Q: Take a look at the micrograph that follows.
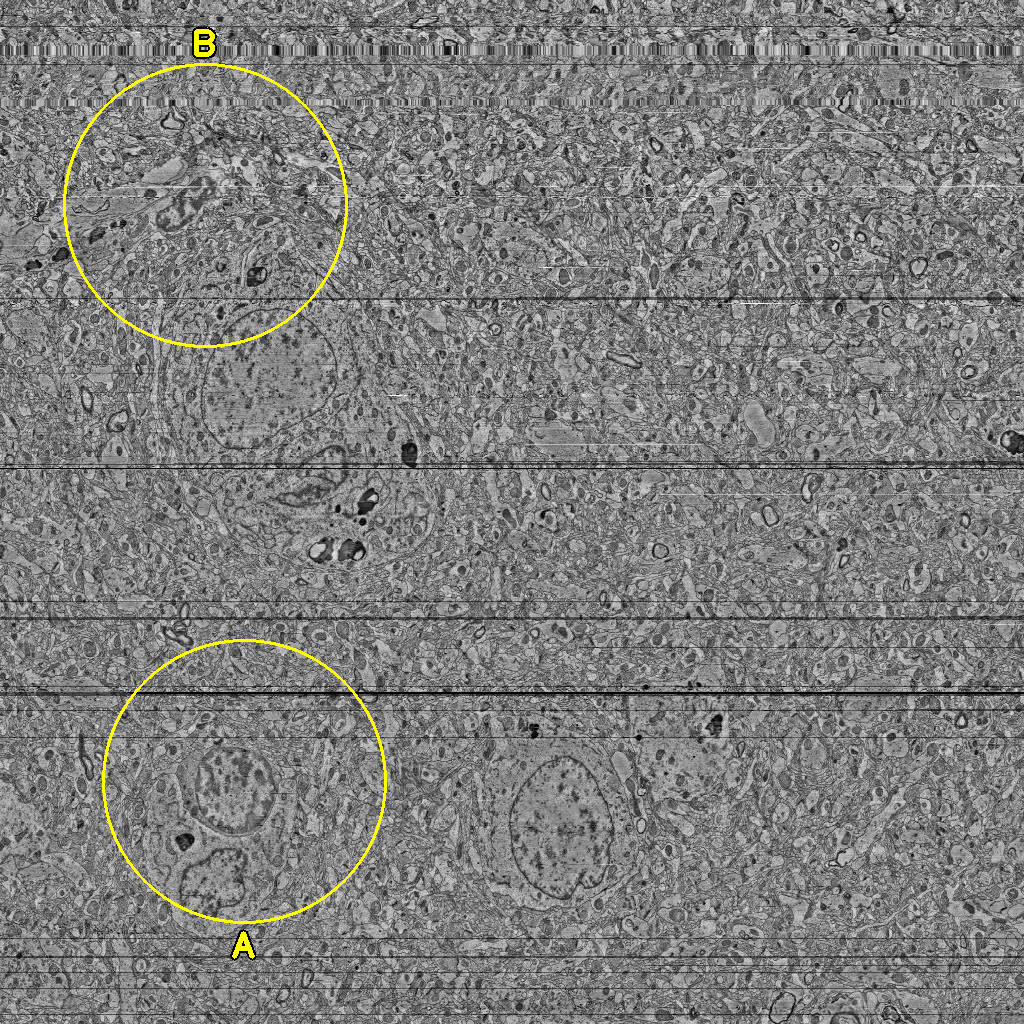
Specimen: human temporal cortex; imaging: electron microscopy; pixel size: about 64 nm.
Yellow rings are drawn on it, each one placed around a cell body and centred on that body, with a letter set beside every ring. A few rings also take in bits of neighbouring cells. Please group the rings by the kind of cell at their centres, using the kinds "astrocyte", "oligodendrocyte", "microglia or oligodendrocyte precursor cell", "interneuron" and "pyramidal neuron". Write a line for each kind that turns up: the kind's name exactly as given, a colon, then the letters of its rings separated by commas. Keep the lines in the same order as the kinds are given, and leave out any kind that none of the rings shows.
oligodendrocyte: A
microglia or oligodendrocyte precursor cell: B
